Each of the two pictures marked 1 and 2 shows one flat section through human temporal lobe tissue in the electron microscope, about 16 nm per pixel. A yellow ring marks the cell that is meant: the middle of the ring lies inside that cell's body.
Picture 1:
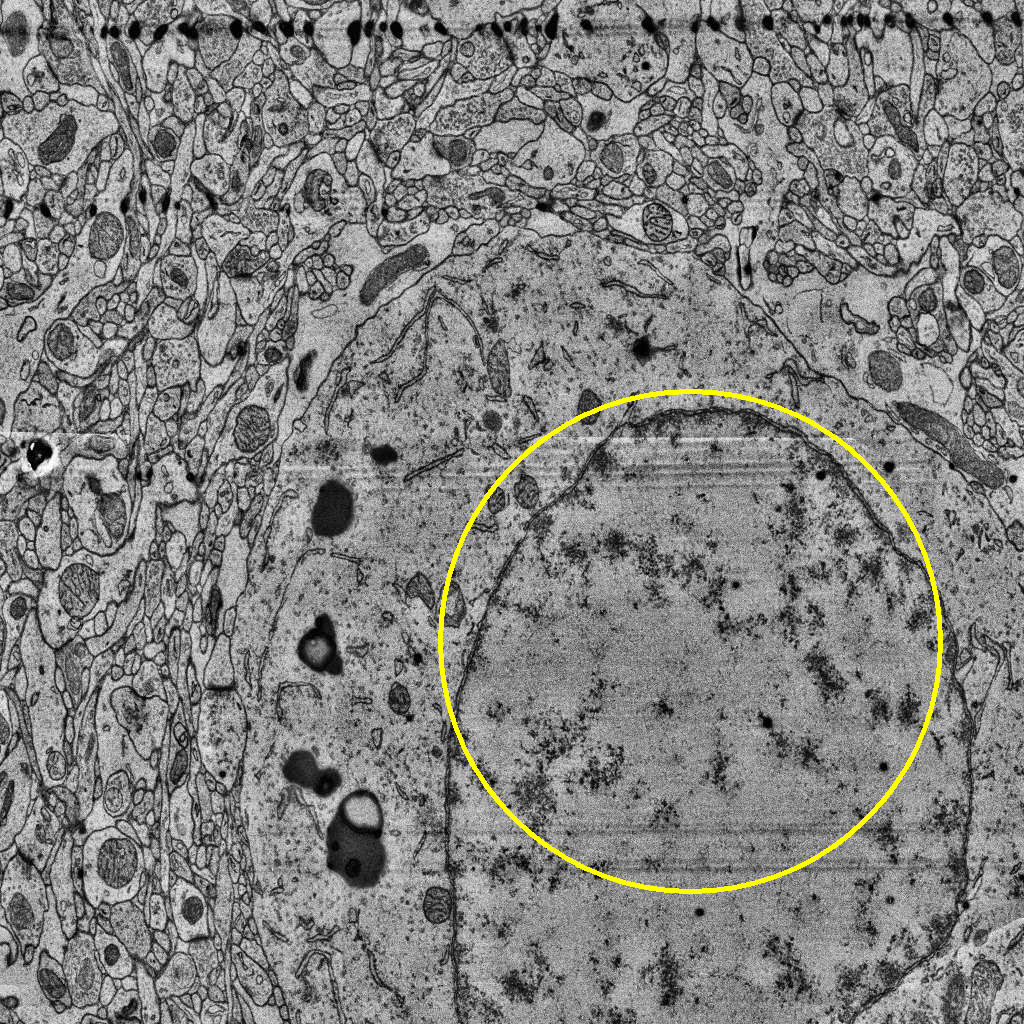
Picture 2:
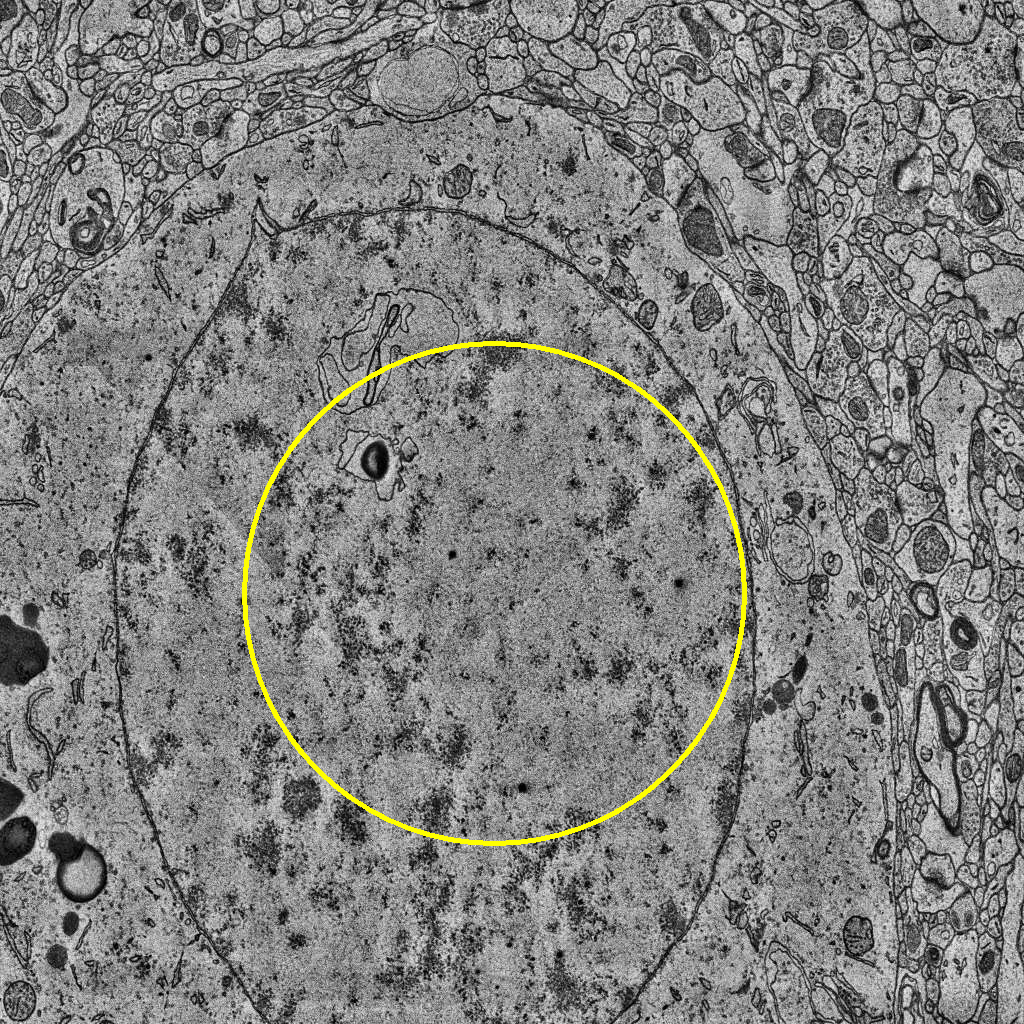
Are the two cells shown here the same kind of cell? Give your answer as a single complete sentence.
Yes, both are pyramidal neurons.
